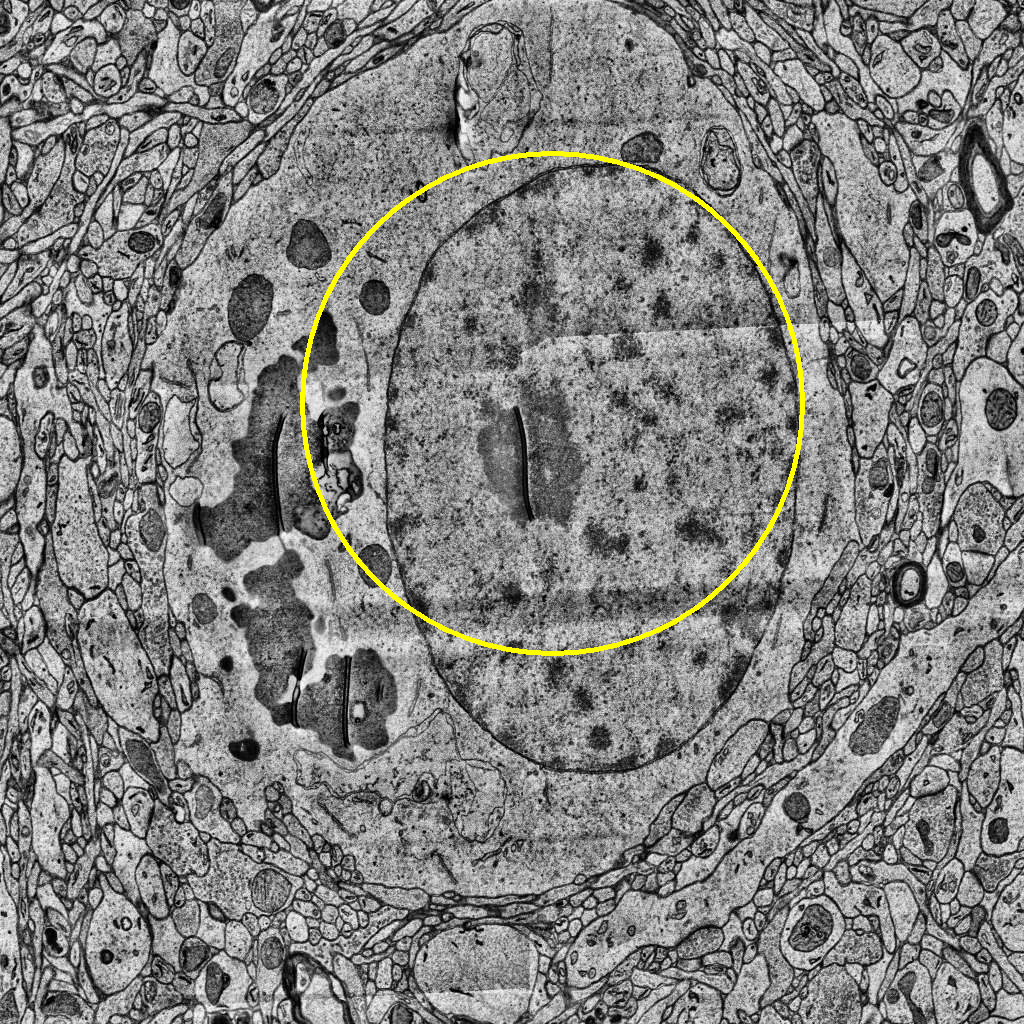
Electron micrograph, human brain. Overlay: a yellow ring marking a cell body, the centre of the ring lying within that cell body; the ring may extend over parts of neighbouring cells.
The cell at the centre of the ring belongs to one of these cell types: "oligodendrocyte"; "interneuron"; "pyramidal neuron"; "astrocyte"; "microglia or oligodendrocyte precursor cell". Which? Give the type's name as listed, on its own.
astrocyte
